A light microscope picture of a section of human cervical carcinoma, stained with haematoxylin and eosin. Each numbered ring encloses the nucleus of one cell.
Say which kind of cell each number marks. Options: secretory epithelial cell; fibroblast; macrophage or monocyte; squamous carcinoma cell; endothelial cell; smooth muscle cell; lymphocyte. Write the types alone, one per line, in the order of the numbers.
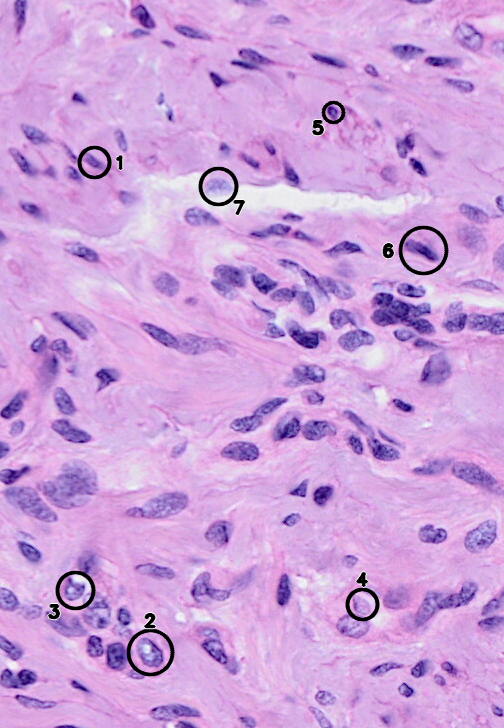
smooth muscle cell
endothelial cell
endothelial cell
endothelial cell
smooth muscle cell
fibroblast
fibroblast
